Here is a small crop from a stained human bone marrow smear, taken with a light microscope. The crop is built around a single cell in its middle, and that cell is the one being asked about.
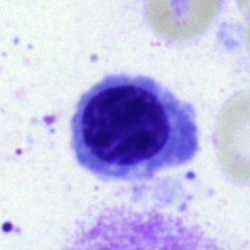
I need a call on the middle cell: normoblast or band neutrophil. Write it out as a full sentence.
The centered cell in this crop is a normoblast.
